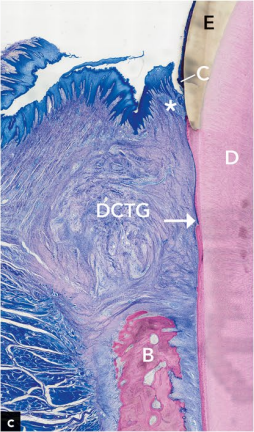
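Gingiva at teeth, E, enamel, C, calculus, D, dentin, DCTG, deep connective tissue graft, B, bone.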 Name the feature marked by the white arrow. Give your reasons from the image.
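Apical end of the junctional epithelium. A thin epithelial strip lies against the tooth surface below the enamel. The arrow points at the lower end of this strip on the tooth surface.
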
